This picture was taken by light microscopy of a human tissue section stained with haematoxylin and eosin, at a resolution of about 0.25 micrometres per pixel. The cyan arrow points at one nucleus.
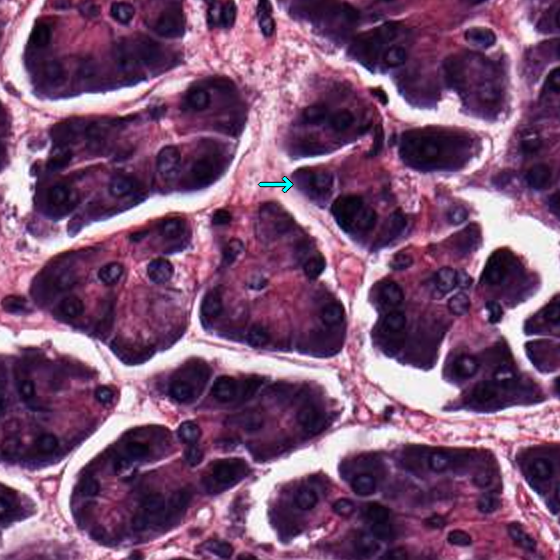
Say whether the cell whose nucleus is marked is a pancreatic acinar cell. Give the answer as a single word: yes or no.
yes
